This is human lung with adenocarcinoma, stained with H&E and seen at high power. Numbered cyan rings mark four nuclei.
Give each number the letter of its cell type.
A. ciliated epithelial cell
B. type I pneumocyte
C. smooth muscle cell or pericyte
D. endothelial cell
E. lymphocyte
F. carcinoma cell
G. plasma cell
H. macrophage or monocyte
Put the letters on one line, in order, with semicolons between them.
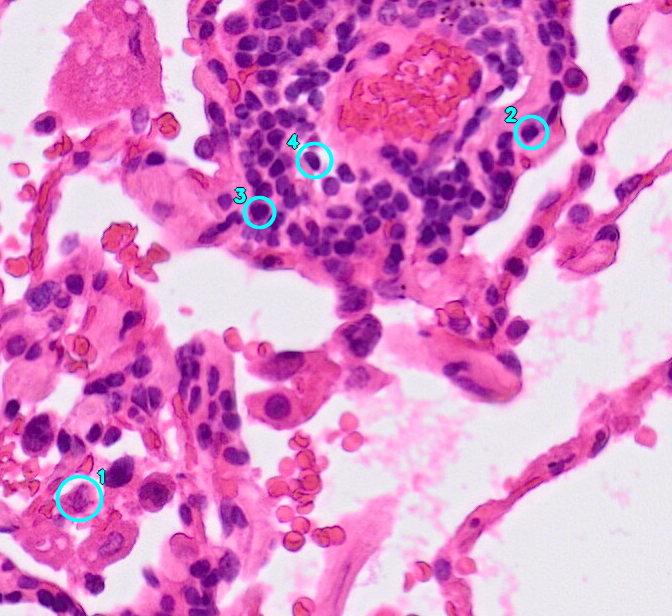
H; E; E; E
